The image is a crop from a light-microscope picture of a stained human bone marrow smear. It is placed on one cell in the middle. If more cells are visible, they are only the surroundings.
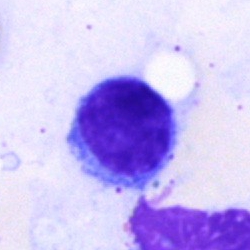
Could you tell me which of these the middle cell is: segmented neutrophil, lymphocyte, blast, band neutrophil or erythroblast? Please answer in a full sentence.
Occupying the centre of the crop is a lymphocyte.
